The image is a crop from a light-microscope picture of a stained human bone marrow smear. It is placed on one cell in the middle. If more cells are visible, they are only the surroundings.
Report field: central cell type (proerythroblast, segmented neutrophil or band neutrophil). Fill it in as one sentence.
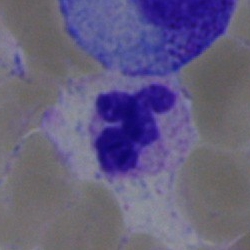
The cell in the middle of this crop is a segmented neutrophil.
